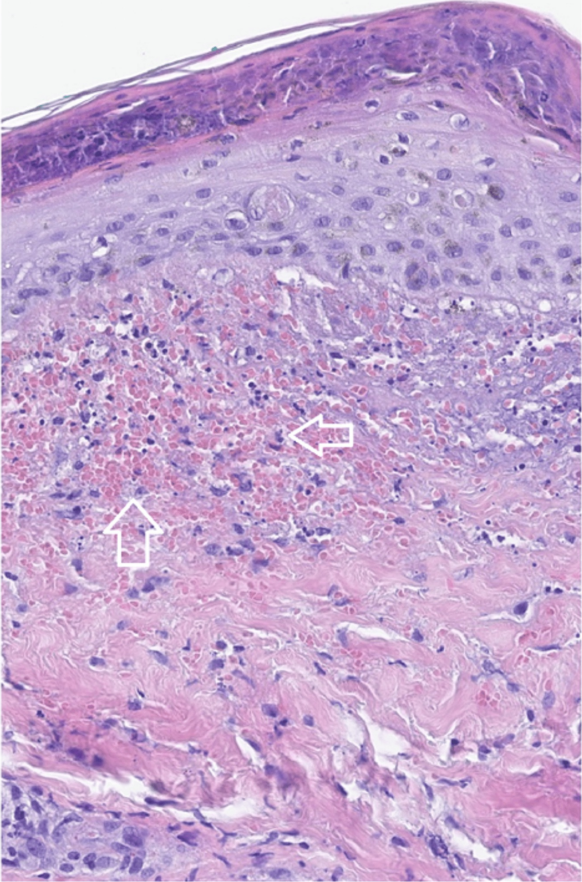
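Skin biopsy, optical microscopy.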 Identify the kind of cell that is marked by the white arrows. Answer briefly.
red blood cells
